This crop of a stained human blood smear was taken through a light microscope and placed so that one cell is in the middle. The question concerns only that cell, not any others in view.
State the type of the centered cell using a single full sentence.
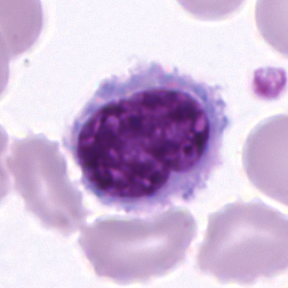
What the crop centres on is a plasma cell.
